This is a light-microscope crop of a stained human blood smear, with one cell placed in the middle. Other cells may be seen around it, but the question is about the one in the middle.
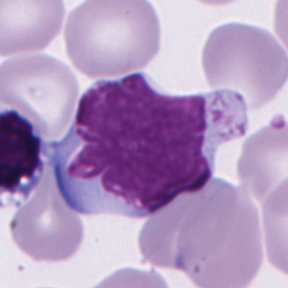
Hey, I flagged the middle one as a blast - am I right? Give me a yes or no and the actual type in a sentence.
No, the cell placed in the centre is a large granular lymphocyte and is not a blast.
